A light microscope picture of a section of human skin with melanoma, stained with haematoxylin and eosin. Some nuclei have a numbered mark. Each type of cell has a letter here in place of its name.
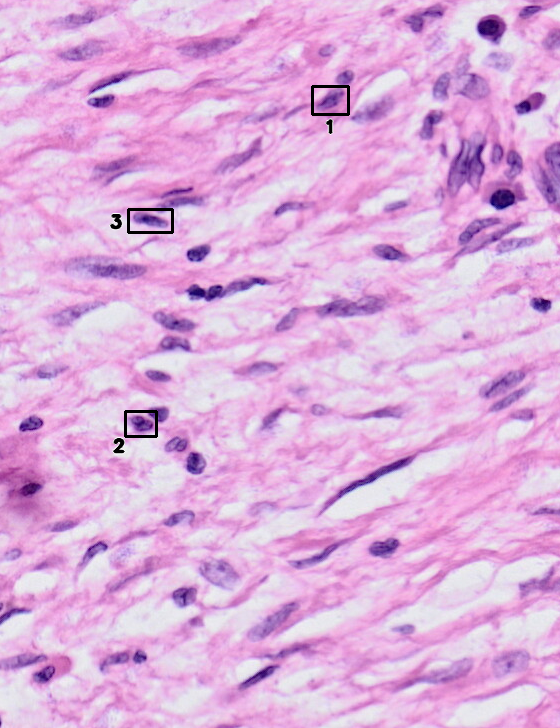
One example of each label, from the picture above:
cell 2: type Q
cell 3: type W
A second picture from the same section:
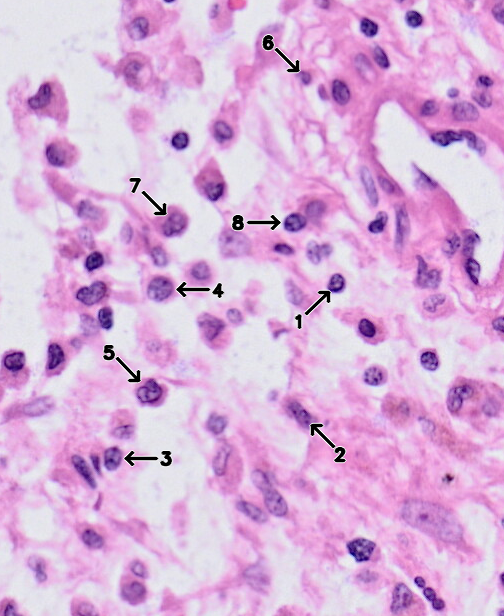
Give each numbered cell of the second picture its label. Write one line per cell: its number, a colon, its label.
1: type W
2: type Q
3: type W
4: type Q
5: type Q
6: type Q
7: type Q
8: type W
